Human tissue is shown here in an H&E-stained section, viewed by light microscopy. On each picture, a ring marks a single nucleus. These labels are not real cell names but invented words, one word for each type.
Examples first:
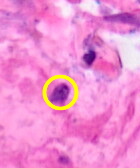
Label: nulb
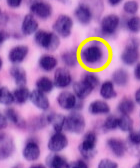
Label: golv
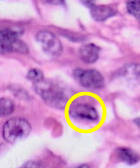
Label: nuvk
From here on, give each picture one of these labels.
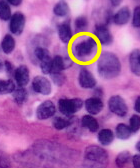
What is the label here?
golv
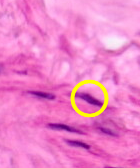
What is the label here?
nulb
